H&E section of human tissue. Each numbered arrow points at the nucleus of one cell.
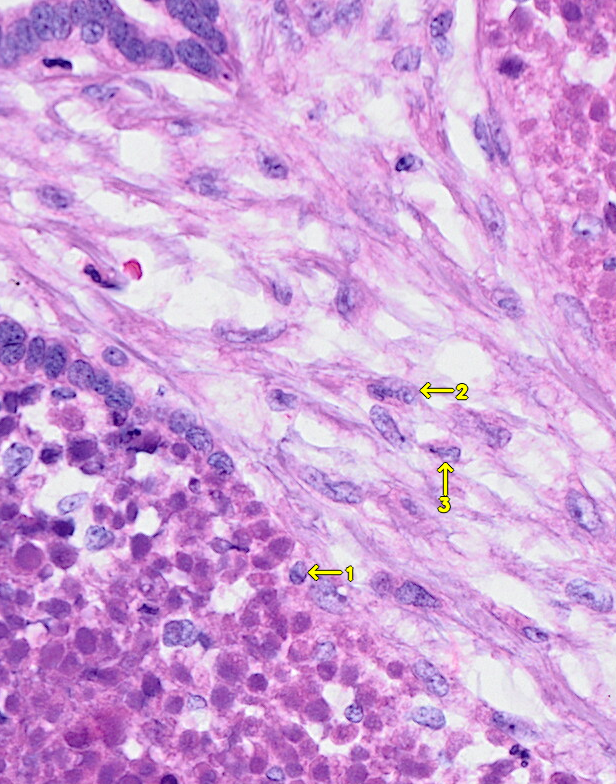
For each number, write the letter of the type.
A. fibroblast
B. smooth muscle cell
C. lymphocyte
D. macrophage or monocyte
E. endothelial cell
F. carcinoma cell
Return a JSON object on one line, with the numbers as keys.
{"1": "D", "2": "A", "3": "A"}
